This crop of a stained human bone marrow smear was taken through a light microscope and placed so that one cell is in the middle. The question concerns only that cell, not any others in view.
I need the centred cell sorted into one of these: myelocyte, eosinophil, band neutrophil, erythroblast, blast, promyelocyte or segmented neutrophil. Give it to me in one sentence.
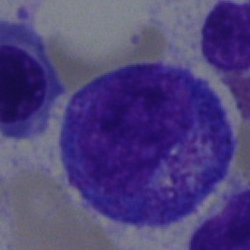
Centrally within this crop lies a promyelocyte.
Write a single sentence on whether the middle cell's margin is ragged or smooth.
The edge of the cell is unbroken and smooth, bearing no projections.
